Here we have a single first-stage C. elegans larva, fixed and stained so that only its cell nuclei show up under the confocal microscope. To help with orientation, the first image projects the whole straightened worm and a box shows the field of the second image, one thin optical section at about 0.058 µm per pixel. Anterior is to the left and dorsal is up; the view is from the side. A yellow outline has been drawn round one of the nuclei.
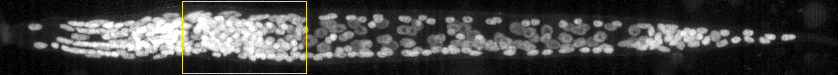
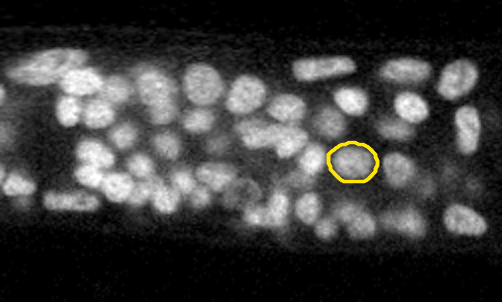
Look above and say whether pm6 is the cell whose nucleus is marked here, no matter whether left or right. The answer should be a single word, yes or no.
yes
